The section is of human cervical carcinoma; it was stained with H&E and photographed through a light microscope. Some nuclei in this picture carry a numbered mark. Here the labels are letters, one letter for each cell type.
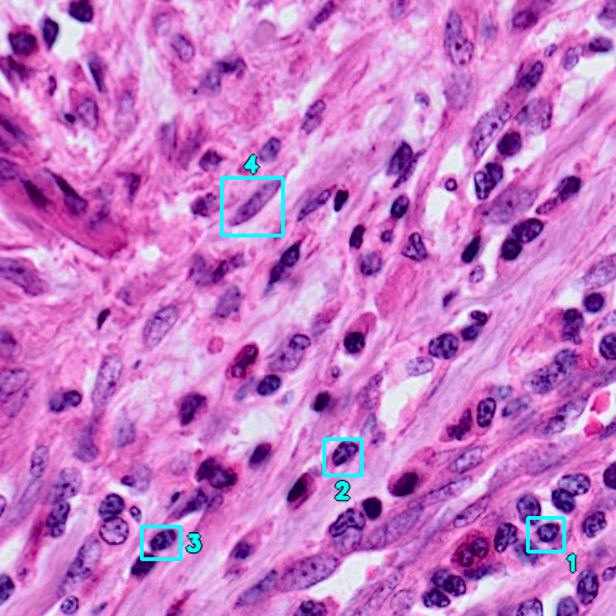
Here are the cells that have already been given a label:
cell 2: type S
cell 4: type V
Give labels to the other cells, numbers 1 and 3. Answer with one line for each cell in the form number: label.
1: type S
3: type S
